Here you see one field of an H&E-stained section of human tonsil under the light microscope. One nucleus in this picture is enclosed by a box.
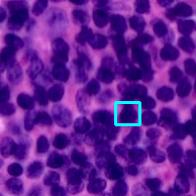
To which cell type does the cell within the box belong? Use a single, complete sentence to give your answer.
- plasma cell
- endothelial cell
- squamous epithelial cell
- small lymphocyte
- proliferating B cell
Assigned to a cell type, the cell within the box is a small lymphocyte.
